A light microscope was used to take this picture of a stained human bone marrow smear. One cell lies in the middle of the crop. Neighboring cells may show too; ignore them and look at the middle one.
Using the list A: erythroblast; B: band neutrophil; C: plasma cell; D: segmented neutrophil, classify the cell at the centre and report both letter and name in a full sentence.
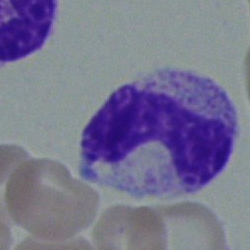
In the middle of the crop is a band neutrophil; option B is therefore correct.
